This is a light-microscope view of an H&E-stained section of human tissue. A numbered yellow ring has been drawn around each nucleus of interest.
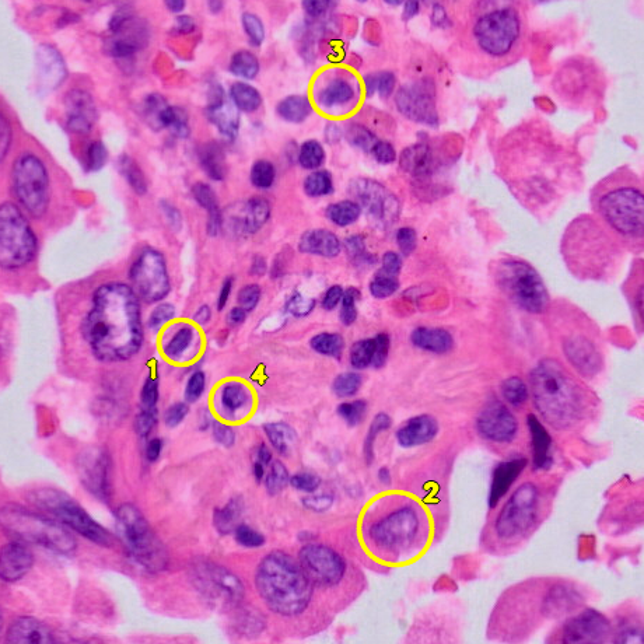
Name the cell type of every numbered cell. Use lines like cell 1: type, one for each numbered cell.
cell 1: lymphocyte
cell 2: carcinoma cell
cell 3: lymphocyte
cell 4: lymphocyte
